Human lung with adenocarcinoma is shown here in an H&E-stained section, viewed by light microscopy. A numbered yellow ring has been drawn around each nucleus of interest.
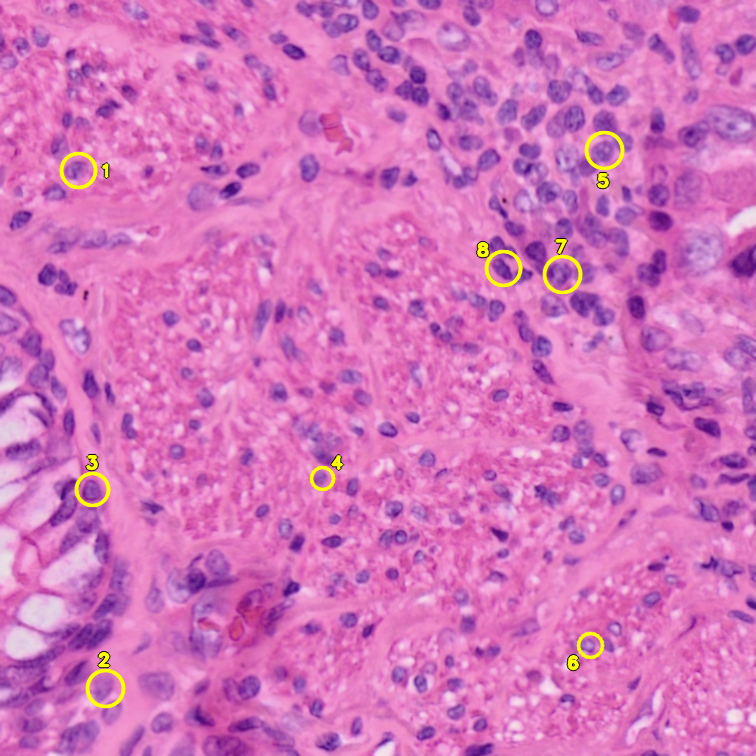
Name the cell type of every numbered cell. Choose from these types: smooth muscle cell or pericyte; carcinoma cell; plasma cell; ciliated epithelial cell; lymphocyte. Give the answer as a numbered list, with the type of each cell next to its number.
1. smooth muscle cell or pericyte
2. ciliated epithelial cell
3. ciliated epithelial cell
4. smooth muscle cell or pericyte
5. lymphocyte
6. smooth muscle cell or pericyte
7. plasma cell
8. lymphocyte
